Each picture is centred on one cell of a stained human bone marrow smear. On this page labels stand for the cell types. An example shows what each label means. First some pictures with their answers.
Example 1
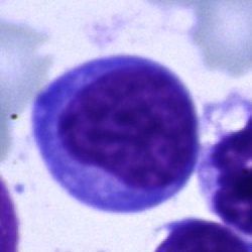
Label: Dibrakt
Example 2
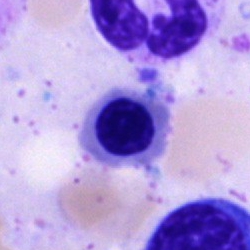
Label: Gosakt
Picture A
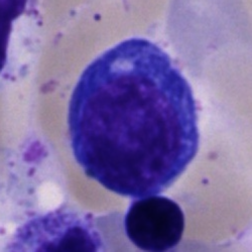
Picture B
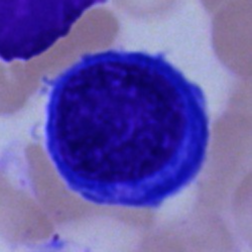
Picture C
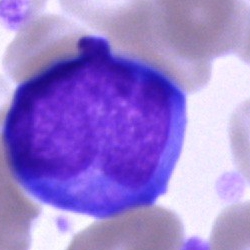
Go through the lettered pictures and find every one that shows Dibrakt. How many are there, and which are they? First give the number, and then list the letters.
1: C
